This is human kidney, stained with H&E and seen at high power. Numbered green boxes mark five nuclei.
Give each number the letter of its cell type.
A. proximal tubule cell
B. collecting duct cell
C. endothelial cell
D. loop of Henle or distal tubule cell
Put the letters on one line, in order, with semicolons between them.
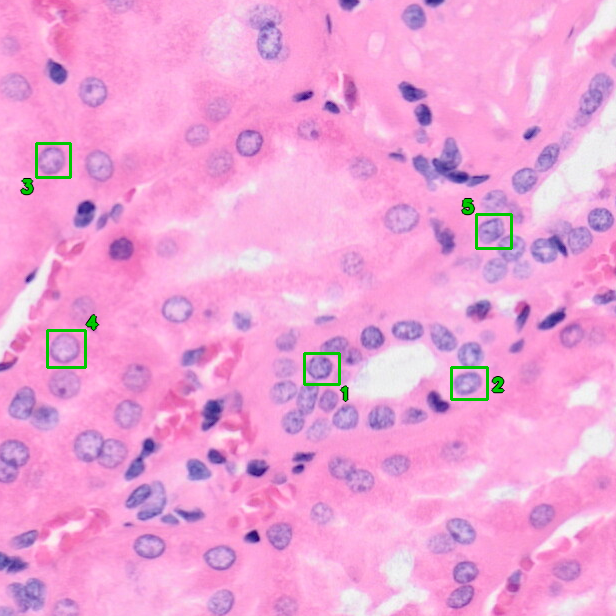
B; B; A; A; B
